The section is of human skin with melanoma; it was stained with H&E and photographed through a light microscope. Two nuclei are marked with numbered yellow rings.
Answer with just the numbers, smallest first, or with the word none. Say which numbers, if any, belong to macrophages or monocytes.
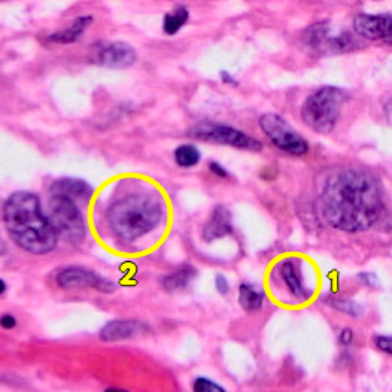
1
